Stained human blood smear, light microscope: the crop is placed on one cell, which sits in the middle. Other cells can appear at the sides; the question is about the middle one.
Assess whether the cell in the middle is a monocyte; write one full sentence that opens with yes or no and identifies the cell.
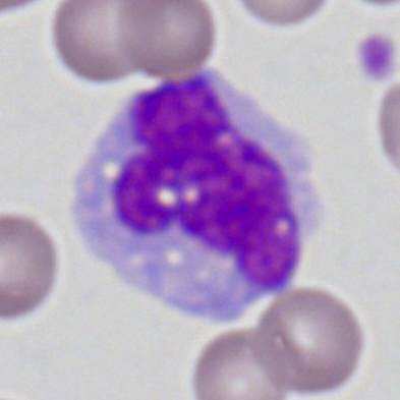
Yes, the cell in the middle of the crop is a monocyte.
